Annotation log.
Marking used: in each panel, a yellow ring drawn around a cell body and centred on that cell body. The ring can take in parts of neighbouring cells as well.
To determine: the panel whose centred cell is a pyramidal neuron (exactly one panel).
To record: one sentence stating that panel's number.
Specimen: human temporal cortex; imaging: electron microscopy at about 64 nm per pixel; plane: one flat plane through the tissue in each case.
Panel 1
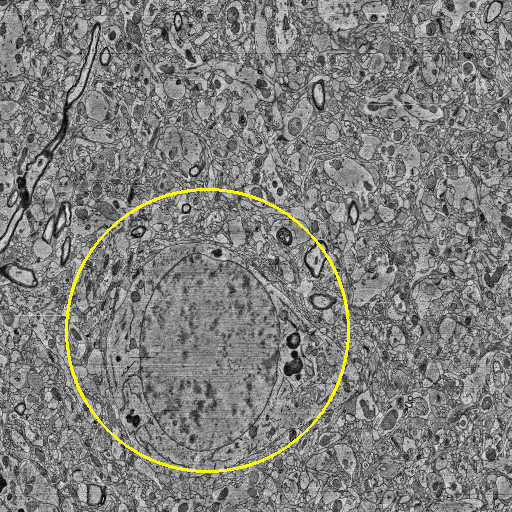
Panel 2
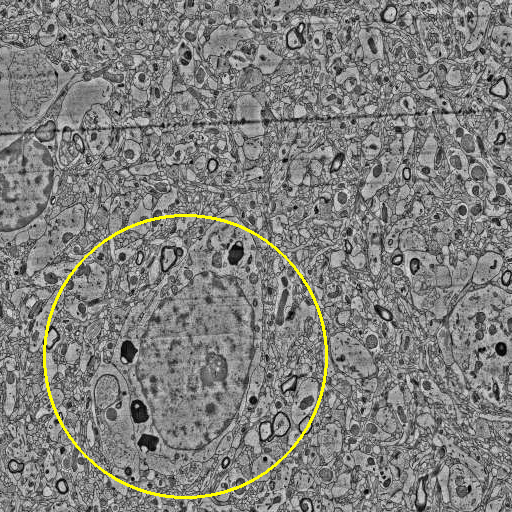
Panel 1 shows it at the centre of its ring.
